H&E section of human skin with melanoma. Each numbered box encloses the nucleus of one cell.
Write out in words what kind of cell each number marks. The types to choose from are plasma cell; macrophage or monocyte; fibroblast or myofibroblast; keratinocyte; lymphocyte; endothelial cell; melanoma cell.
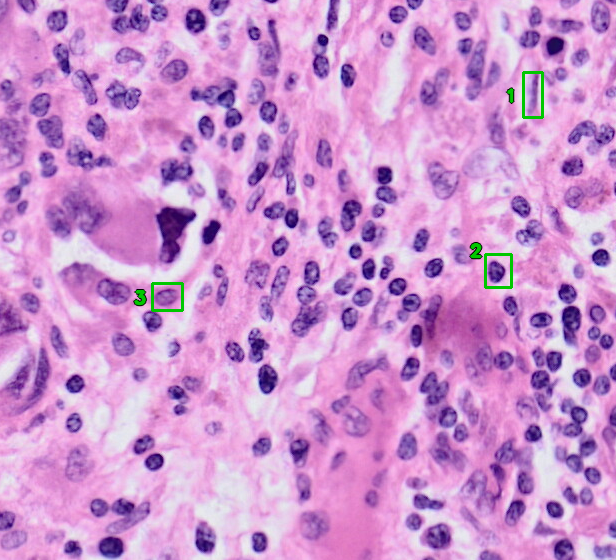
Cell 1 is a fibroblast or myofibroblast. Cell 2 is a lymphocyte. Cell 3 is a macrophage or monocyte.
